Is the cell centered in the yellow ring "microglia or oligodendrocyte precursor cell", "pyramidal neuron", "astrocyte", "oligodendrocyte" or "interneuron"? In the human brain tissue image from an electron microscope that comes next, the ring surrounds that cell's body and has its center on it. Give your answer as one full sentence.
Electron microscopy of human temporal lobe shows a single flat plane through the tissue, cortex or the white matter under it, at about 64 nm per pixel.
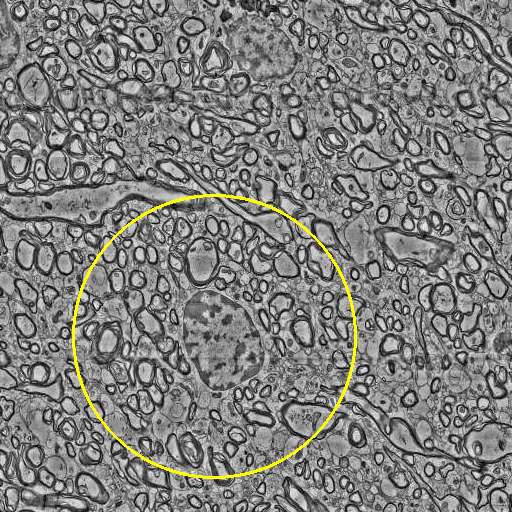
The cell at the center of the yellow ring is a microglial cell or oligodendrocyte precursor cell in the micrograph.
